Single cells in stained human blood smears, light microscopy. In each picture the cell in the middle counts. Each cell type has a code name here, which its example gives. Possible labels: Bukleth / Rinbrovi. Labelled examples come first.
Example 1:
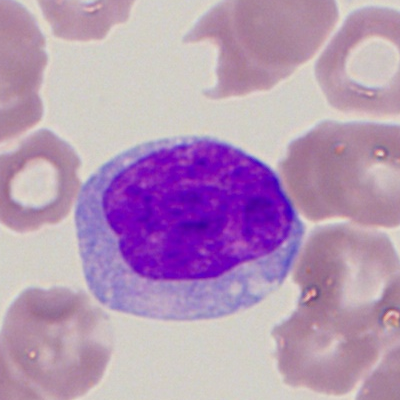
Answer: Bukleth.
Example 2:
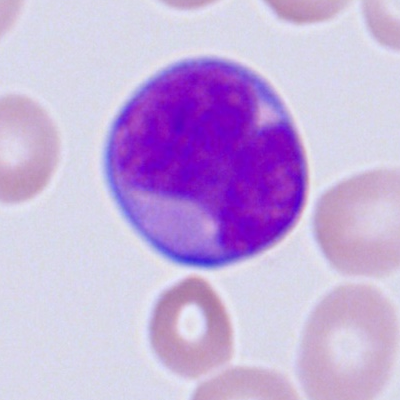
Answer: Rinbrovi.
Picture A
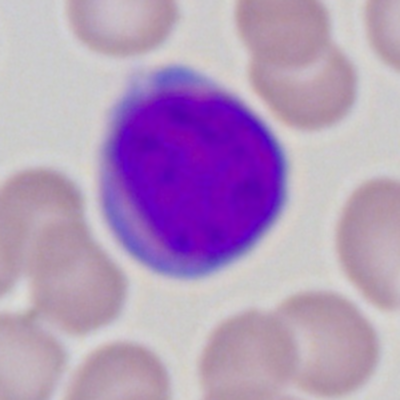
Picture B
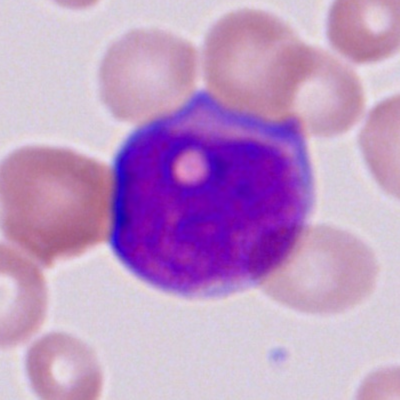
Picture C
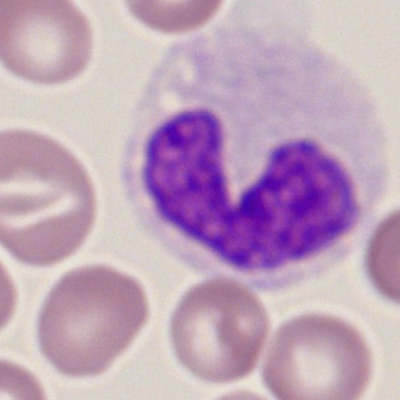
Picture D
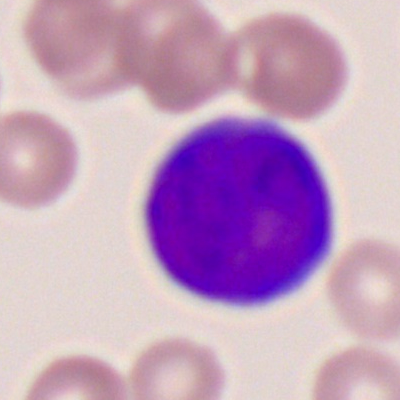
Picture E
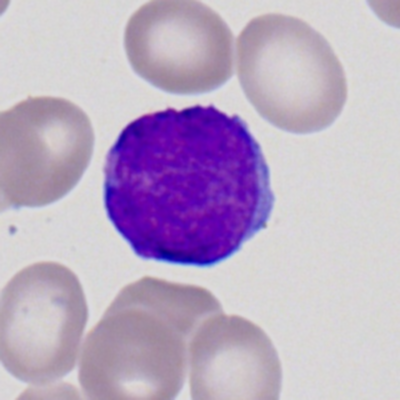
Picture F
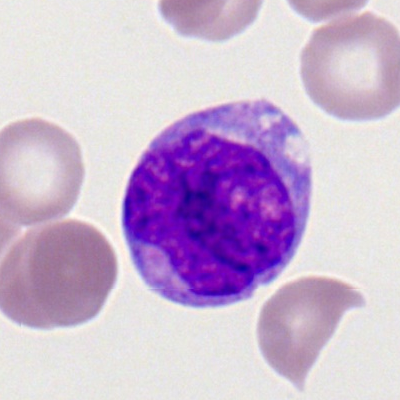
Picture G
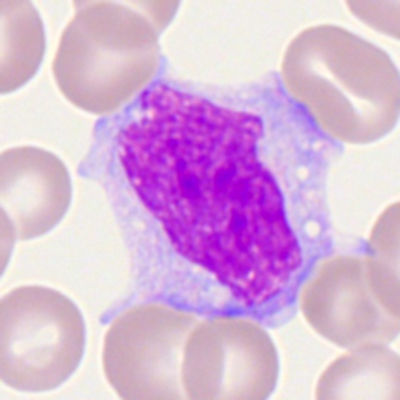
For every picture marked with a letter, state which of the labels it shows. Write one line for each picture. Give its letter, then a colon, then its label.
A: Rinbrovi.
B: Rinbrovi.
C: Bukleth.
D: Rinbrovi.
E: Rinbrovi.
F: Bukleth.
G: Bukleth.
